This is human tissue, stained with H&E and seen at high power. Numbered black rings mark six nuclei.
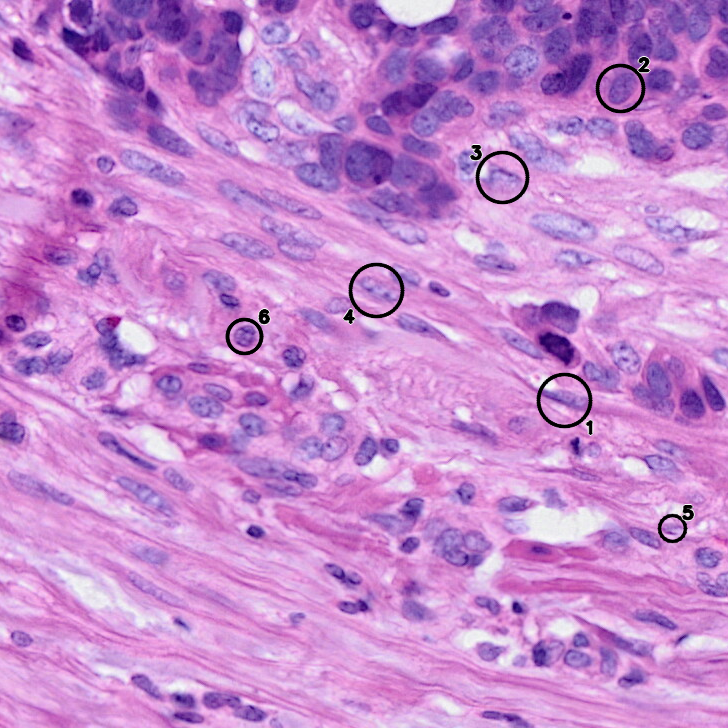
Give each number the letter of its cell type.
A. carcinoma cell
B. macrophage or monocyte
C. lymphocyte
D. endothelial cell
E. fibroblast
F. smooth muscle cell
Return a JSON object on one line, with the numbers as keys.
{"1": "E", "2": "A", "3": "E", "4": "E", "5": "E", "6": "B"}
